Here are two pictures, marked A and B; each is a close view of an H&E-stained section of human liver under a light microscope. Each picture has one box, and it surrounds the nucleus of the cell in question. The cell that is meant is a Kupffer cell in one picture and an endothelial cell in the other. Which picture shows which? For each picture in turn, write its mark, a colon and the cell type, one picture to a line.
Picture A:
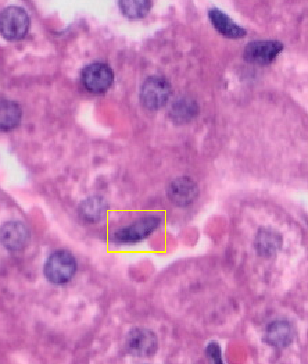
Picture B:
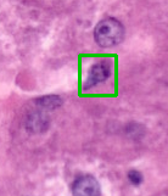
A: Kupffer cell
B: endothelial cell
